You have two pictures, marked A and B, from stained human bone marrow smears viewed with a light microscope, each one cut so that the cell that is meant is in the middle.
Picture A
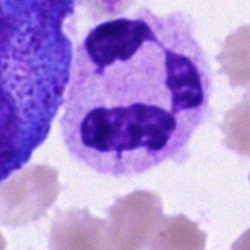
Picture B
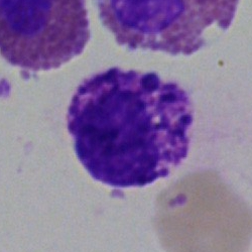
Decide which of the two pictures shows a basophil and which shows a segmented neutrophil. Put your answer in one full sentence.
Picture B shows a basophil, while picture A shows a segmented neutrophil.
